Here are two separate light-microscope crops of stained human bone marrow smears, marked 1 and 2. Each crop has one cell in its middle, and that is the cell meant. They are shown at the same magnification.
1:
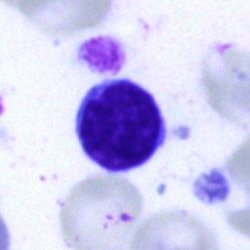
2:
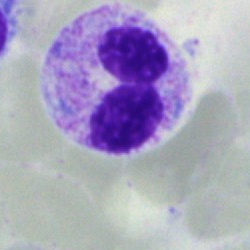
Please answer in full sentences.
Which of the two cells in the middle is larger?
It is the cell in crop 2, about 2.5 times as large in area as the cell in crop 1.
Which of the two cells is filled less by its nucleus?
Of the two, the nucleus in crop 2 leaves more room for cytoplasm.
